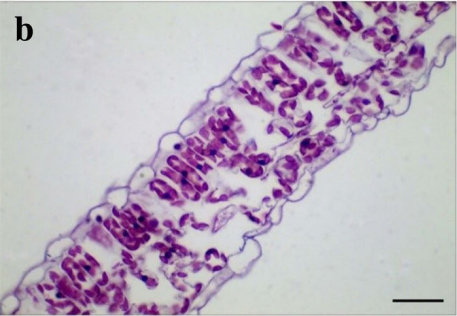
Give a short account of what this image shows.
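This is a cross-section of a leaf blade showing the epidermis and the mesophyll. Each face is covered by a single layer of large, clear epidermal cells with thin walls. Under the upper epidermis lie elongated, column-shaped palisade mesophyll cells standing upright and closely packed, their walls lined with many small pink-purple stained chloroplasts. Toward the lower epidermis the spongy mesophyll consists of irregularly shaped, loosely arranged cells separated by clear intercellular air spaces. The chloroplast-rich cells give the mesophyll a dense purple-red appearance against the pale epidermis.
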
